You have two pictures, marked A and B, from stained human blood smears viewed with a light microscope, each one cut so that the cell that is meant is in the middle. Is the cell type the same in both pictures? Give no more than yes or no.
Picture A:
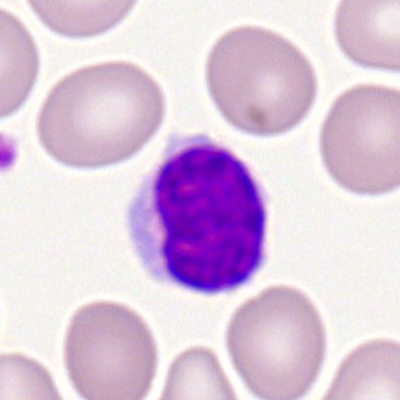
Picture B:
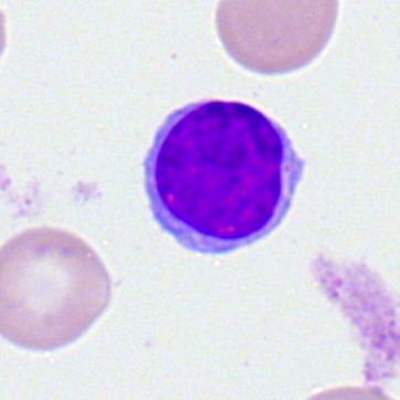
yes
